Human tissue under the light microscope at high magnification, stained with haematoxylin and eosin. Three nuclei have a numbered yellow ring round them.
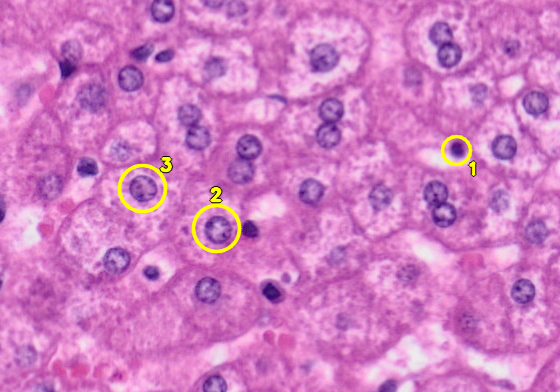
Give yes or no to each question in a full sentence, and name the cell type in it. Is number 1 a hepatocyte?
No, it's not a hepatocyte at number 1; that cell is a lymphocyte.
